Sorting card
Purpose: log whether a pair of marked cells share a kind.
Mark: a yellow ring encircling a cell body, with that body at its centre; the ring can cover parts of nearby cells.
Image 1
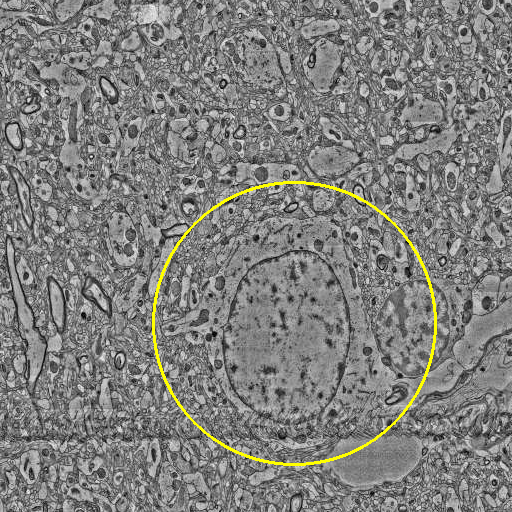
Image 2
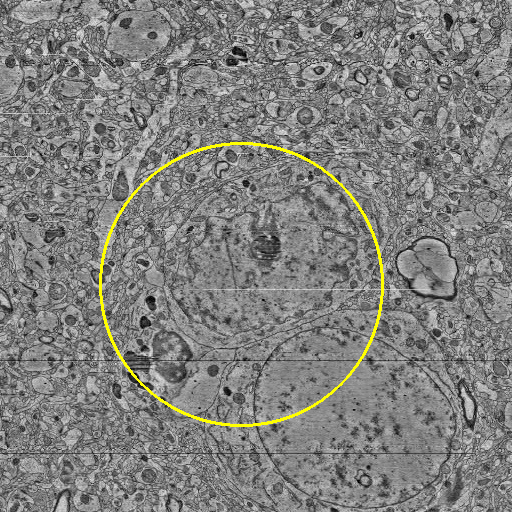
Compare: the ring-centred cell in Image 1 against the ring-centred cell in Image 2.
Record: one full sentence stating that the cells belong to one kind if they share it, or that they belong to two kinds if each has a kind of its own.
Across Images 1 and 2, the two ring-centred cells belong to two kinds.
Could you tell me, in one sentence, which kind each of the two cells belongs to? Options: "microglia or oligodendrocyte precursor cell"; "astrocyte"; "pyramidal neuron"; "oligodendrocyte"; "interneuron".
At the centre of the first ring sits a pyramidal neuron, and at the centre of the second sits an interneuron.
